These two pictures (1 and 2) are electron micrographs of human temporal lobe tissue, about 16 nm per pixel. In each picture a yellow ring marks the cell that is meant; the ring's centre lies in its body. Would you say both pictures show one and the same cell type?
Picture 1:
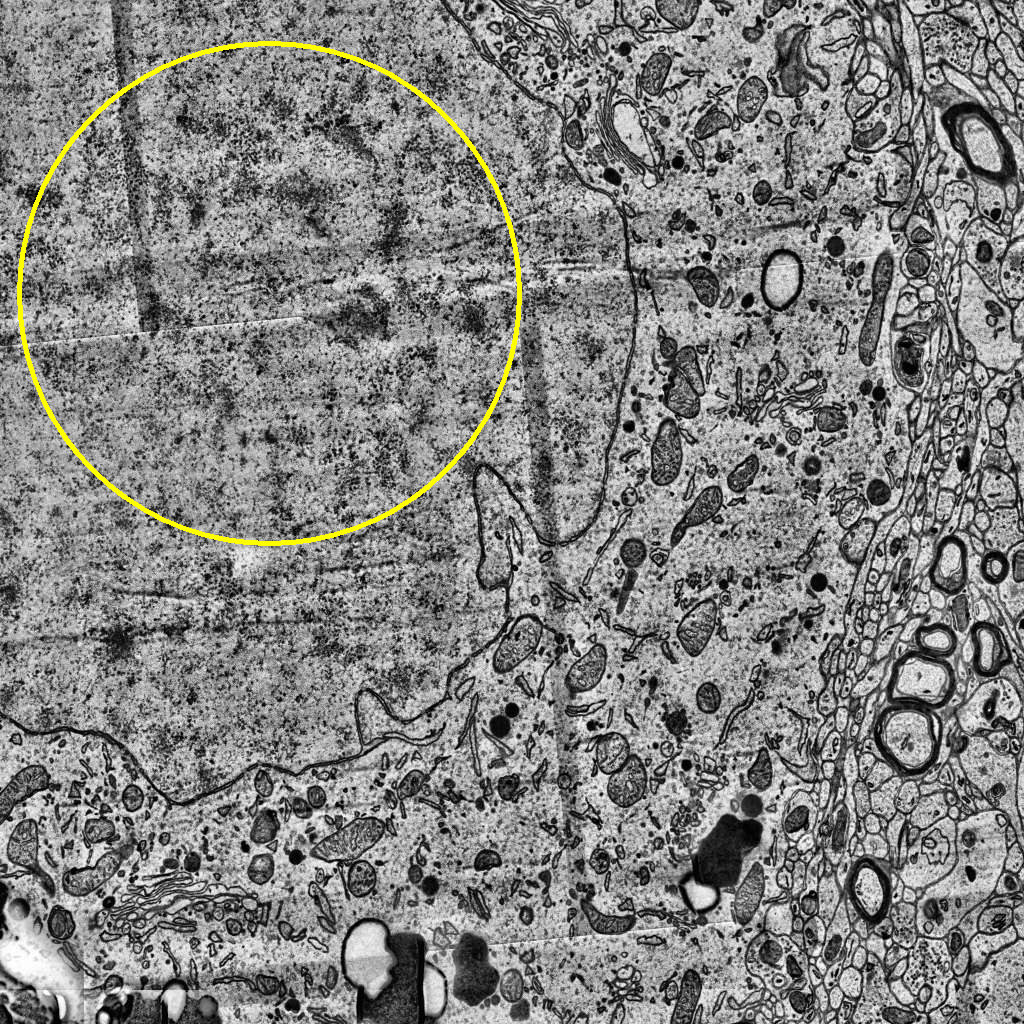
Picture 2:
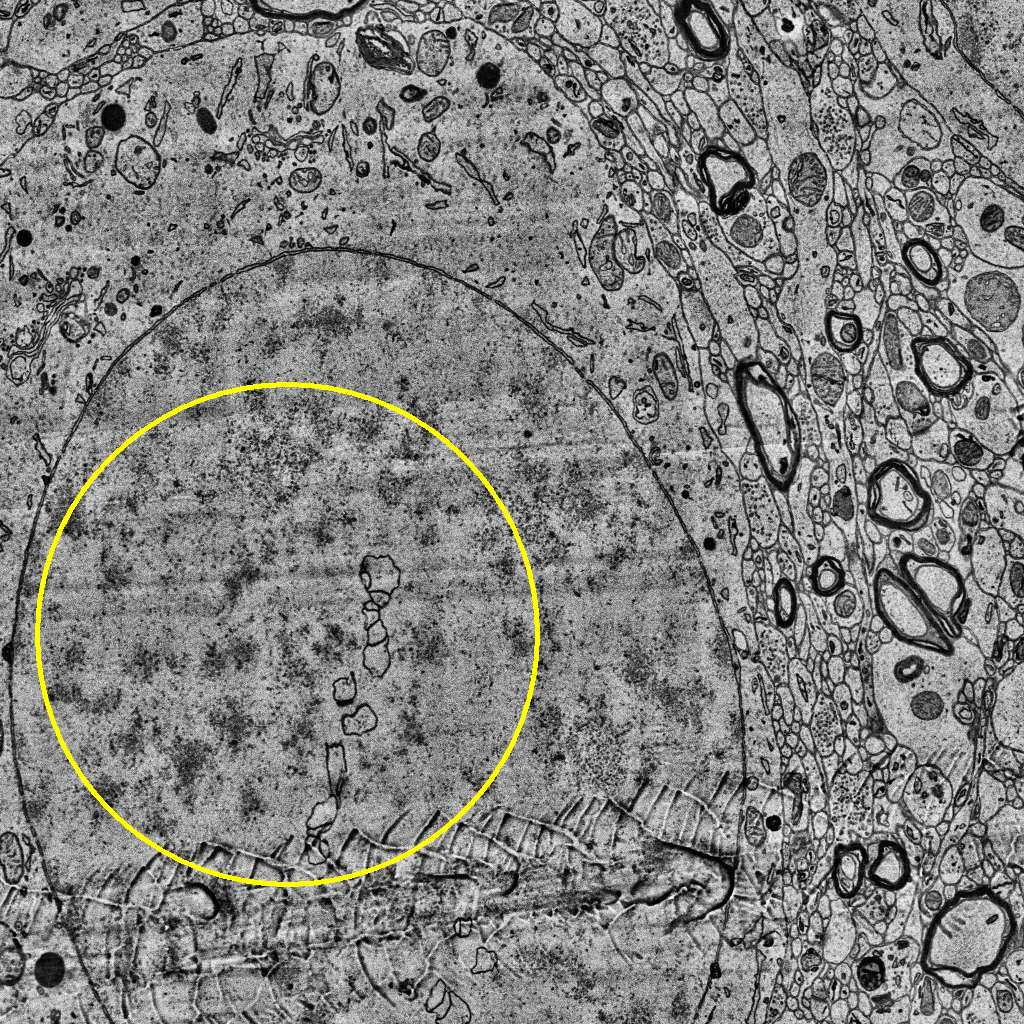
Yes; the cells in both pictures are pyramidal neurons.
